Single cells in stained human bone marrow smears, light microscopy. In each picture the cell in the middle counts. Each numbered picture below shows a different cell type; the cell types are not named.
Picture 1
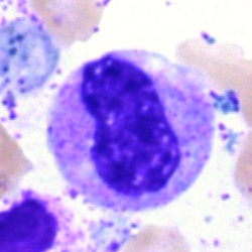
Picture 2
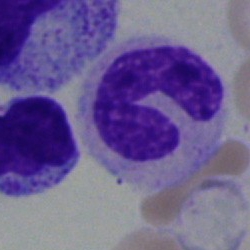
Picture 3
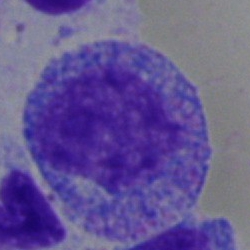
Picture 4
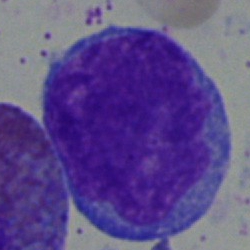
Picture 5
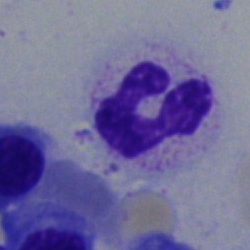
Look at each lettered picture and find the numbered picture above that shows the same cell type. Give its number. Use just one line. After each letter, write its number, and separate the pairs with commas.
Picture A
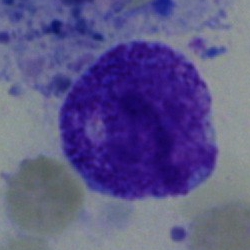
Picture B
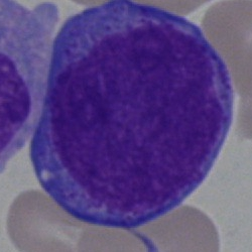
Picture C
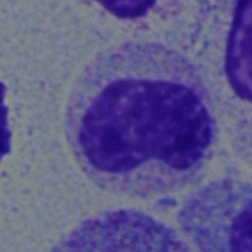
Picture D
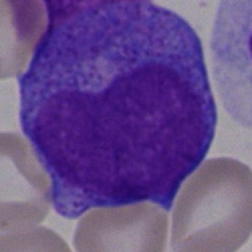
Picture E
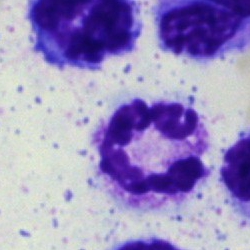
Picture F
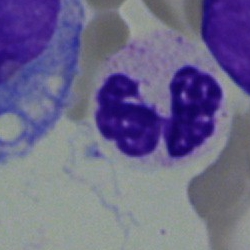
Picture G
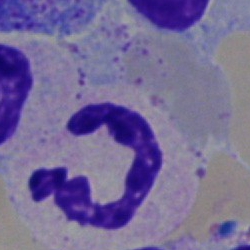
A 3, B 4, C 1, D 3, E 5, F 5, G 5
